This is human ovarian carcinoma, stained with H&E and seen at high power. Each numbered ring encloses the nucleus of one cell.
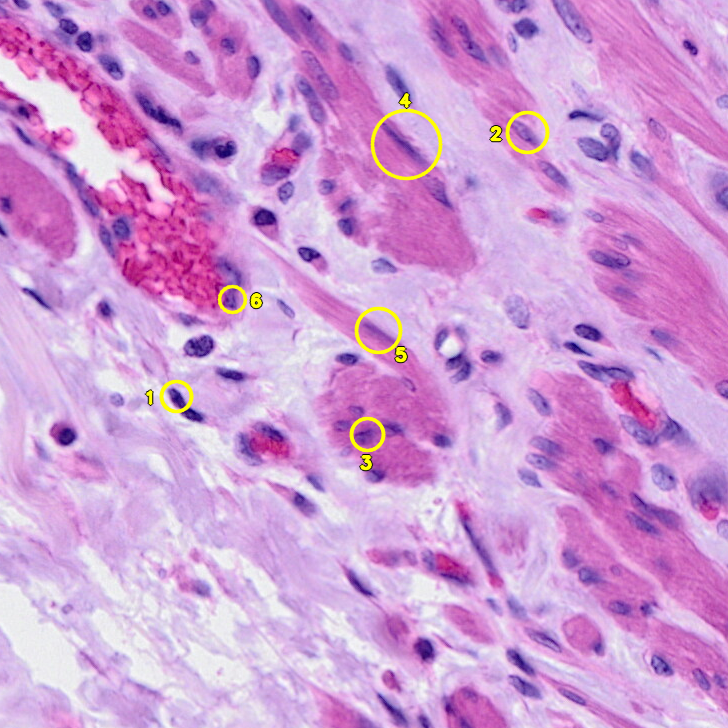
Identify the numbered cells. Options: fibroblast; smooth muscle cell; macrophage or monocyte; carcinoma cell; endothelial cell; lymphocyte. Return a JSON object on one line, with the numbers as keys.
{"1": "lymphocyte", "2": "smooth muscle cell", "3": "smooth muscle cell", "4": "smooth muscle cell", "5": "smooth muscle cell", "6": "endothelial cell"}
